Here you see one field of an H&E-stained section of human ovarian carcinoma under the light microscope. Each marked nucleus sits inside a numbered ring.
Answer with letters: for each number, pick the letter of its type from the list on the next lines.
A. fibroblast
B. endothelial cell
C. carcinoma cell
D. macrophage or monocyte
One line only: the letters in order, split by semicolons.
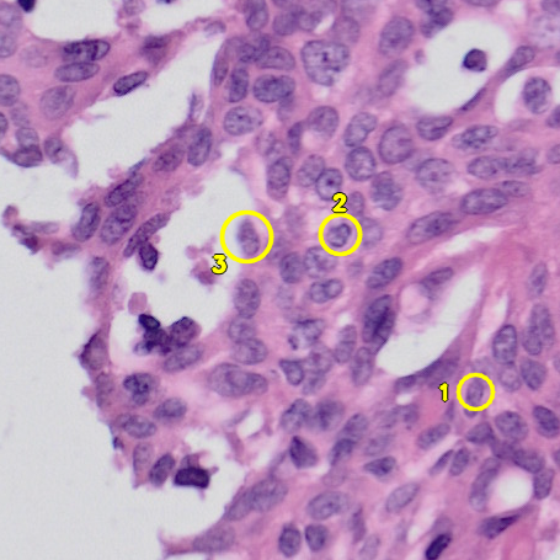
D; D; C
